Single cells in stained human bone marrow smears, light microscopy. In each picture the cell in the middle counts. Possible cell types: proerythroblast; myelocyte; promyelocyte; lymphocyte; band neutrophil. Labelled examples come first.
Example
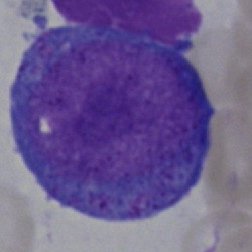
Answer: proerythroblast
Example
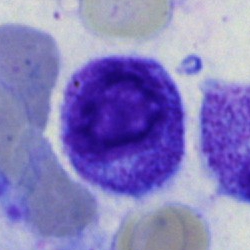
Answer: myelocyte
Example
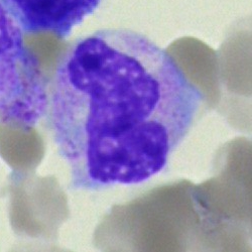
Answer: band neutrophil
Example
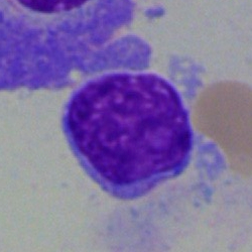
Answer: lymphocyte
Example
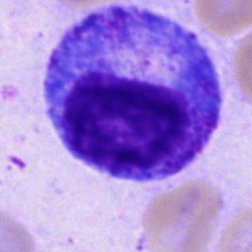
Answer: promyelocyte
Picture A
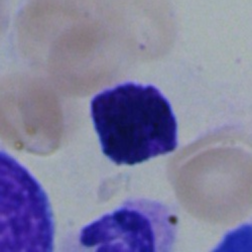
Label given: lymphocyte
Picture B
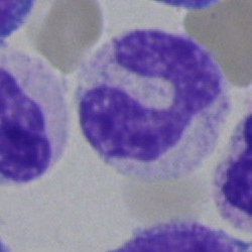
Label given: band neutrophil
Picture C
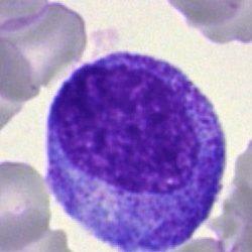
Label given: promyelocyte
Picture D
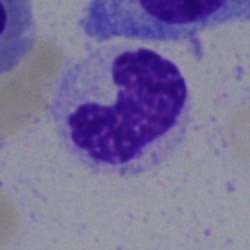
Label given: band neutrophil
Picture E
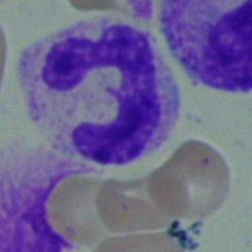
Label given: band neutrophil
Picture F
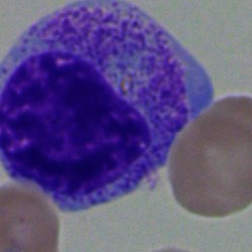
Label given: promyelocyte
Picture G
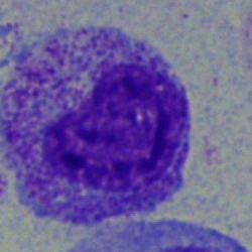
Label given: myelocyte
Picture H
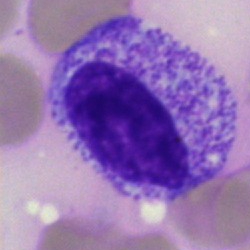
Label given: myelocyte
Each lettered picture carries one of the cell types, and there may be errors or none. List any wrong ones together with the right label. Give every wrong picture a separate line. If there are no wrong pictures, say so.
All labels are correct.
